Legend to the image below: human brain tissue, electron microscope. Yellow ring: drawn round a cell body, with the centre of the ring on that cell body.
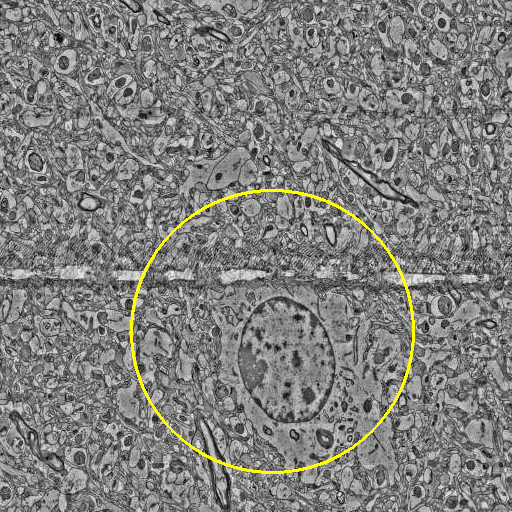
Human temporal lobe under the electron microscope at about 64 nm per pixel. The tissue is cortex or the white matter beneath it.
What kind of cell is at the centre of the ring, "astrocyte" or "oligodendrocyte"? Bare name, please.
astrocyte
